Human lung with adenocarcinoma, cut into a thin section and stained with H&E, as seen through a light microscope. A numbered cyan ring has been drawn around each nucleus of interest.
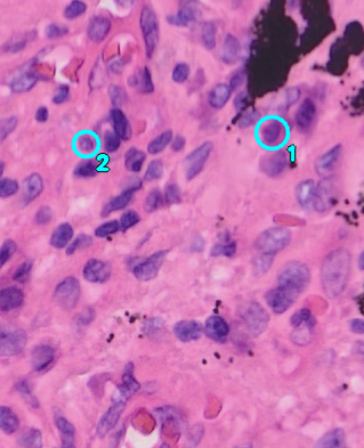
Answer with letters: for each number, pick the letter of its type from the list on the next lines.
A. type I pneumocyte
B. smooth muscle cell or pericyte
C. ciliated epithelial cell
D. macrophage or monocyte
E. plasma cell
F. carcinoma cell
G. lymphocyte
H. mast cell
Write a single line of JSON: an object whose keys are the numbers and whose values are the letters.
{"1": "E", "2": "G"}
